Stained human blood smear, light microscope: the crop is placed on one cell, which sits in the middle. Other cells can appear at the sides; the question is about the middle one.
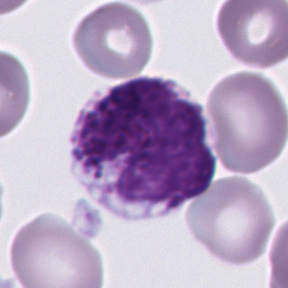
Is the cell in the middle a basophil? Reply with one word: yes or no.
yes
